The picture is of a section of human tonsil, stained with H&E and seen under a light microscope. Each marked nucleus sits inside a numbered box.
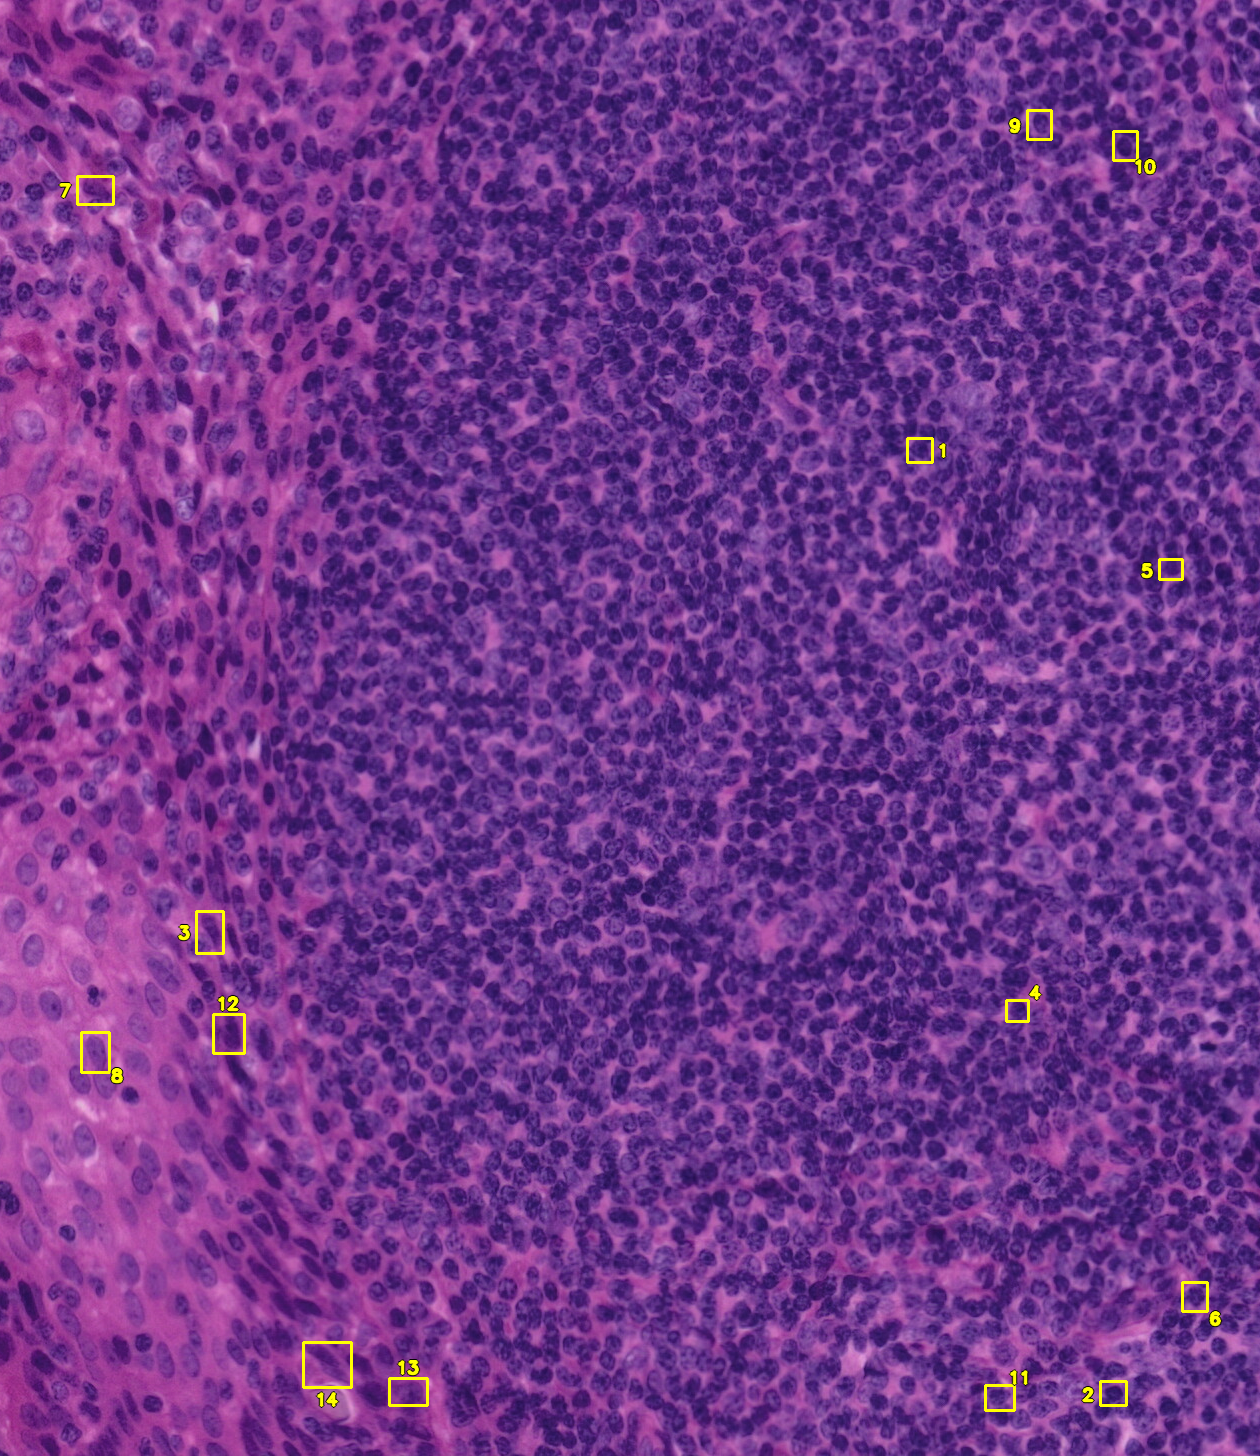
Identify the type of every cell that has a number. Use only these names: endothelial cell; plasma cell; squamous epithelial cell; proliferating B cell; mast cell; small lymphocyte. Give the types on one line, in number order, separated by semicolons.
small lymphocyte; small lymphocyte; squamous epithelial cell; small lymphocyte; small lymphocyte; small lymphocyte; squamous epithelial cell; squamous epithelial cell; small lymphocyte; small lymphocyte; small lymphocyte; squamous epithelial cell; squamous epithelial cell; squamous epithelial cell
